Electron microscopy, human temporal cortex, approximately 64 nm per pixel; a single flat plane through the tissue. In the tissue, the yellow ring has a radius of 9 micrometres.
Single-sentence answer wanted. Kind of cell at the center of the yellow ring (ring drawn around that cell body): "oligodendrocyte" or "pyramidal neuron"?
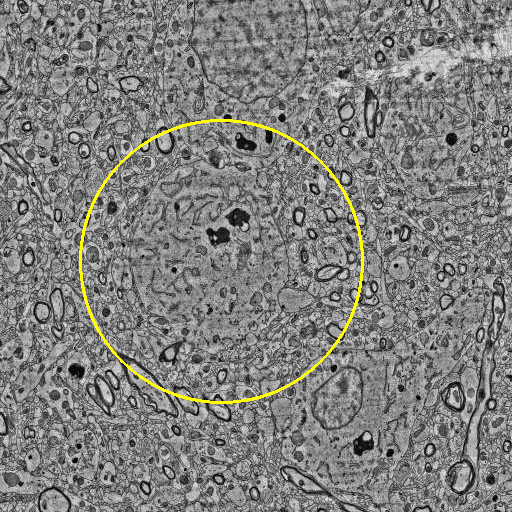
The cell centered in the ring is a pyramidal neuron.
